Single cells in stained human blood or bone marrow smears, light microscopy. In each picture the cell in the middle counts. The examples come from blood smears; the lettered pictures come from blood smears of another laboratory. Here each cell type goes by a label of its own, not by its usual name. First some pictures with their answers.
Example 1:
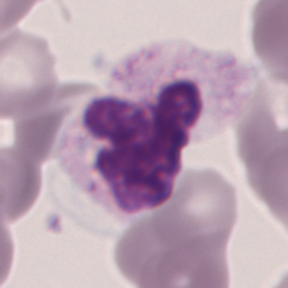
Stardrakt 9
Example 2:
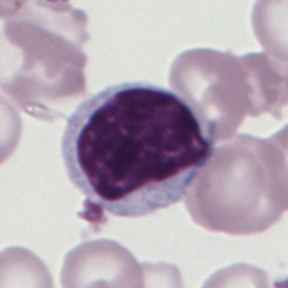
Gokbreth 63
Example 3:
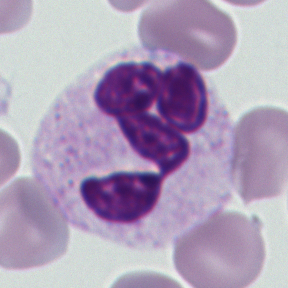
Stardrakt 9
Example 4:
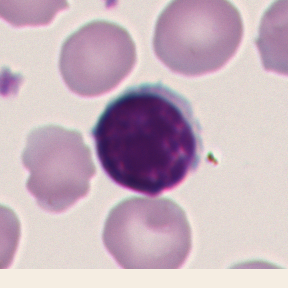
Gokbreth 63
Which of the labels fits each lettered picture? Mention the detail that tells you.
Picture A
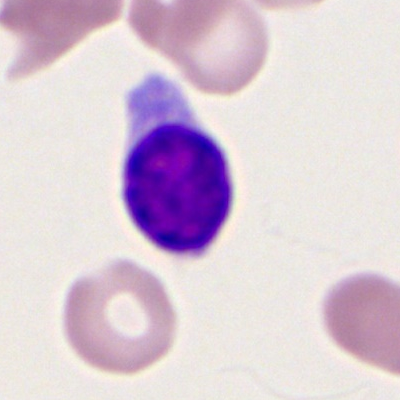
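Gokbreth 63. Evidence: The cytoplasm is scant, leaving the nucleus filling most of the cell.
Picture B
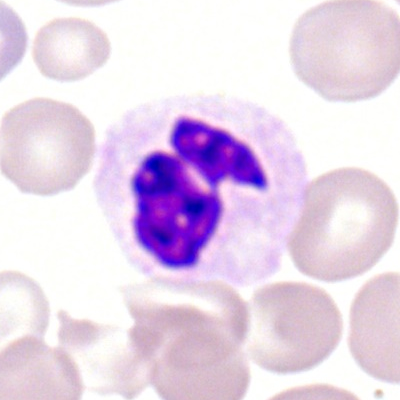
Stardrakt 9. Evidence: The nucleus is split into lobes, with a narrow pale gap separating an upper-right lobe from a larger lower-left part.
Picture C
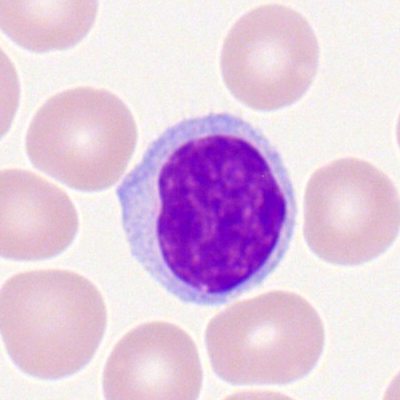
Gokbreth 63. Evidence: The nucleus fills most of the cell, leaving a rim of cytoplasm that is widest on the left.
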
